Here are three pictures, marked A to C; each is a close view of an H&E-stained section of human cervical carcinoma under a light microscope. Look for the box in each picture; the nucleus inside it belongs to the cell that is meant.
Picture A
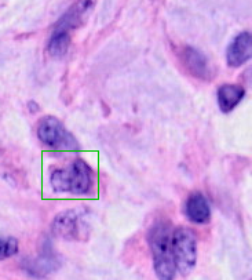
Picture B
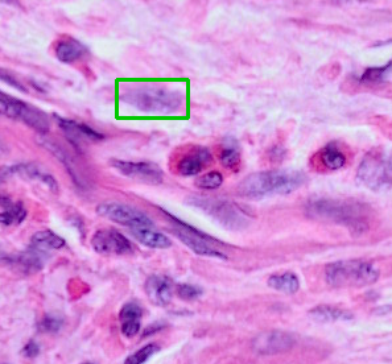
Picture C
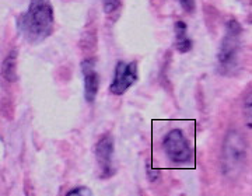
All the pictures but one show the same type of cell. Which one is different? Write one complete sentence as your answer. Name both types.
Picture B differs, because its cell is a fibroblast and the rest are “macrophages or monocytes”.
